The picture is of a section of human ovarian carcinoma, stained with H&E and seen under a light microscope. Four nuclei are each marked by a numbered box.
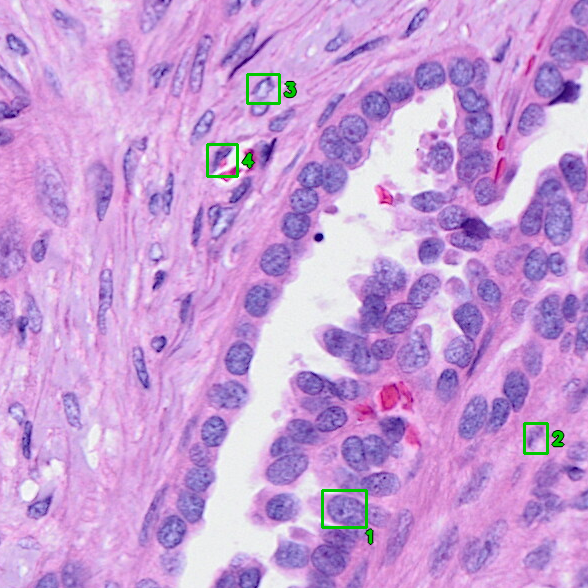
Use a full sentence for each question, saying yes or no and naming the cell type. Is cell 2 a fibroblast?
Yes, the cell corresponding to number 2 is a fibroblast.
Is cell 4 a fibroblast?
No, number 4 identifies an endothelial cell, not a fibroblast.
